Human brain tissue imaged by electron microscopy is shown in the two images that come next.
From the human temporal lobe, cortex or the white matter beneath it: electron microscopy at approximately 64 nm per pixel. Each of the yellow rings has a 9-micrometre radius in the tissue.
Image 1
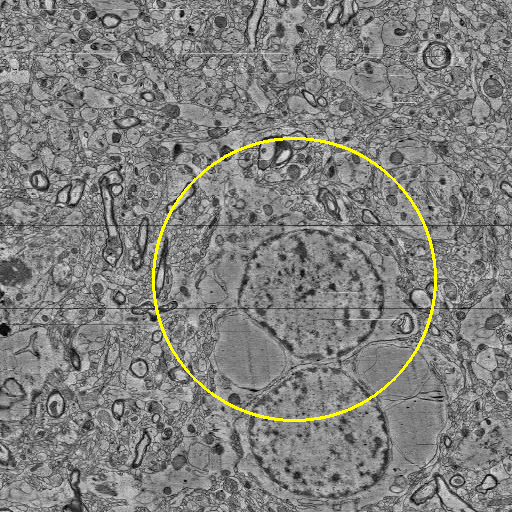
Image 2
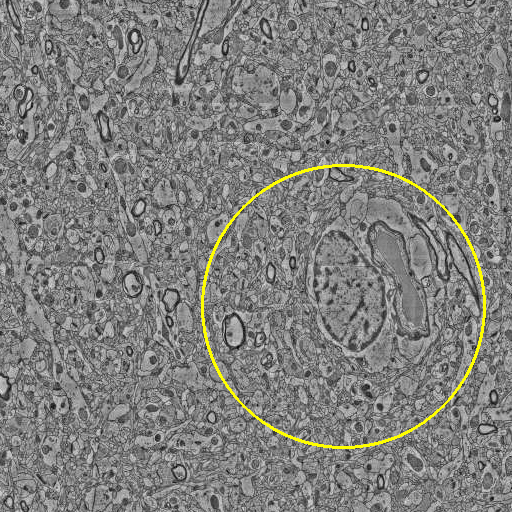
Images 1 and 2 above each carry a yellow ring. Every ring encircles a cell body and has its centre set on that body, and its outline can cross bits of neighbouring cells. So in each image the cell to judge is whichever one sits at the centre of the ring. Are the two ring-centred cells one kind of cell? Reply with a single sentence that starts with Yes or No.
No, in Image 1 and Image 2 the cells at the centres of their rings fall into two types.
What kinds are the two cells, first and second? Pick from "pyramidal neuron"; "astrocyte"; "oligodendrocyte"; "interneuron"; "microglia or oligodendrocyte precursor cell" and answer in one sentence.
The second picture holds a microglial cell or oligodendrocyte precursor cell in its ring, and the first holds an astrocyte.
